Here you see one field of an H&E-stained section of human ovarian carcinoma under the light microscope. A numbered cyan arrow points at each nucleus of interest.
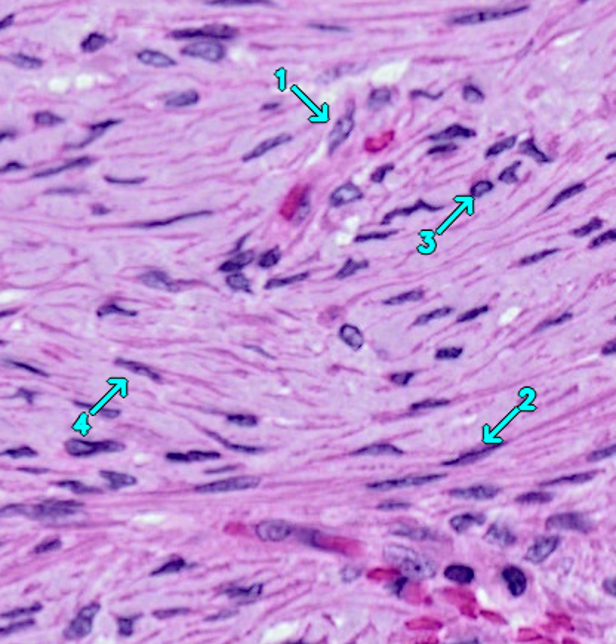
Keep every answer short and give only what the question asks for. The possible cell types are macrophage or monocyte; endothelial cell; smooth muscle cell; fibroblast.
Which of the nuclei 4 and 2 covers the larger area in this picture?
2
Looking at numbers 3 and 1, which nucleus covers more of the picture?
1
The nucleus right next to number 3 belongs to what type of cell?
fibroblast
